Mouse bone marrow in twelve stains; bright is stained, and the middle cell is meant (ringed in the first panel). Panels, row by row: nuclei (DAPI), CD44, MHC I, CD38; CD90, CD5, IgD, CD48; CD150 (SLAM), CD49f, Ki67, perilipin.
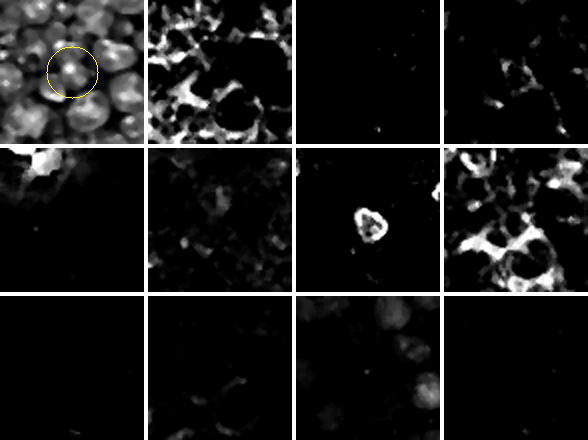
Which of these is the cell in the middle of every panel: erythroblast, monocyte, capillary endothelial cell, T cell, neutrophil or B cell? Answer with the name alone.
B cell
